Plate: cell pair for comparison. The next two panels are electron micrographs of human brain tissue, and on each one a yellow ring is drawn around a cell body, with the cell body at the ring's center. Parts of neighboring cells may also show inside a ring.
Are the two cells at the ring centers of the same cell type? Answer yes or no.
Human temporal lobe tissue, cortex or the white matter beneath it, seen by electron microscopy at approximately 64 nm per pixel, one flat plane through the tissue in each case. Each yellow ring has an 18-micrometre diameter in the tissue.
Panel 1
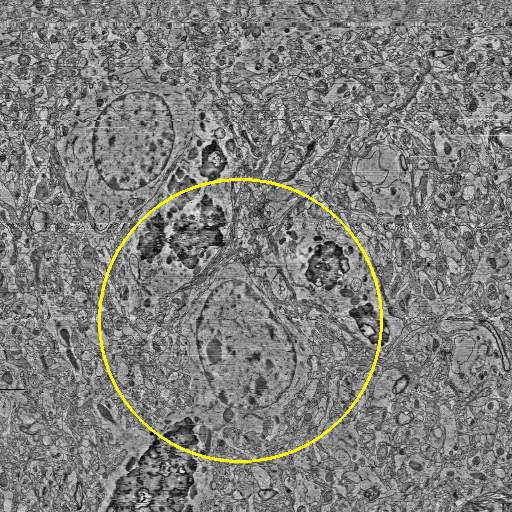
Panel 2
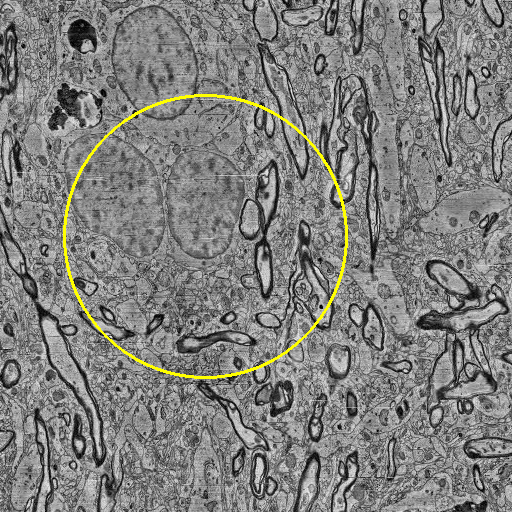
no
